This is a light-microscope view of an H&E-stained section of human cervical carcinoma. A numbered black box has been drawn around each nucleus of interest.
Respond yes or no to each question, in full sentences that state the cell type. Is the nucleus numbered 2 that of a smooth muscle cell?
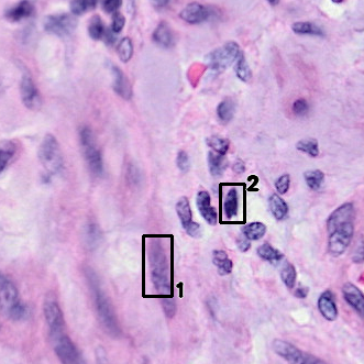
No, the cell at number 2 is a lymphocyte instead of a smooth muscle cell.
